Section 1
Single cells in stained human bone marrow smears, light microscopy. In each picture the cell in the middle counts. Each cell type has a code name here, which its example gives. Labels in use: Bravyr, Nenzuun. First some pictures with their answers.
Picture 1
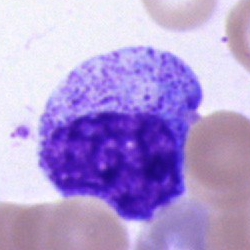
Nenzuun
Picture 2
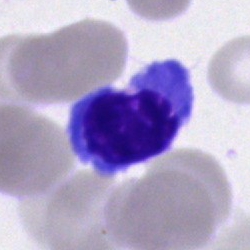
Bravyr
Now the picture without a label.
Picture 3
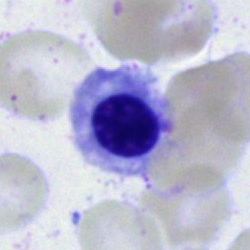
Bravyr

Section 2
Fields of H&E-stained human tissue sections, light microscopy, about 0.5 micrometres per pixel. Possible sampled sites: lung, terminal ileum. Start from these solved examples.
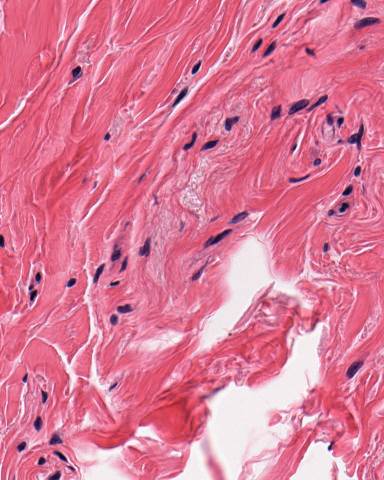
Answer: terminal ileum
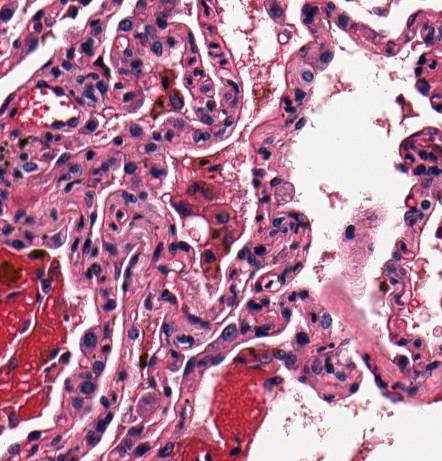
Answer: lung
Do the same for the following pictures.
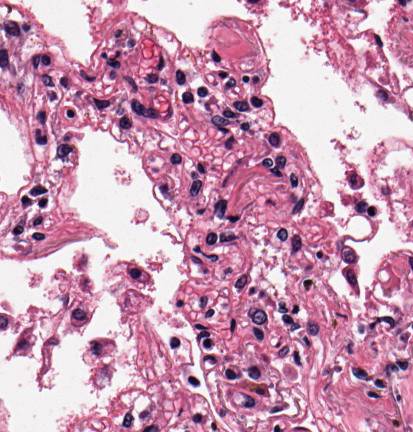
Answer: lung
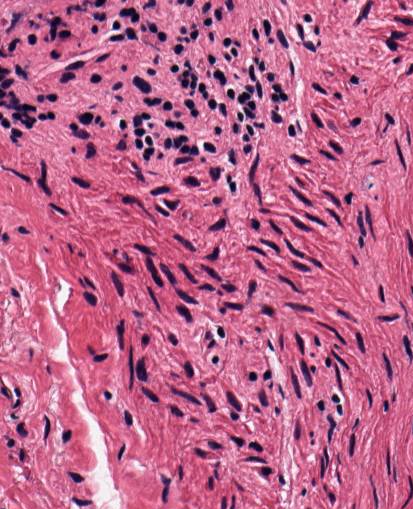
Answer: terminal ileum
